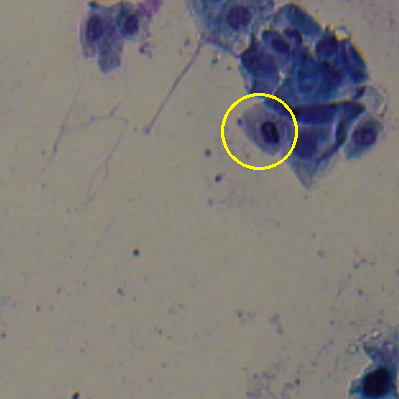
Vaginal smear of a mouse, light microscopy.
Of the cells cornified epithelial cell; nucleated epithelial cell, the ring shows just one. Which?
The ring shows a nucleated epithelial cell.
